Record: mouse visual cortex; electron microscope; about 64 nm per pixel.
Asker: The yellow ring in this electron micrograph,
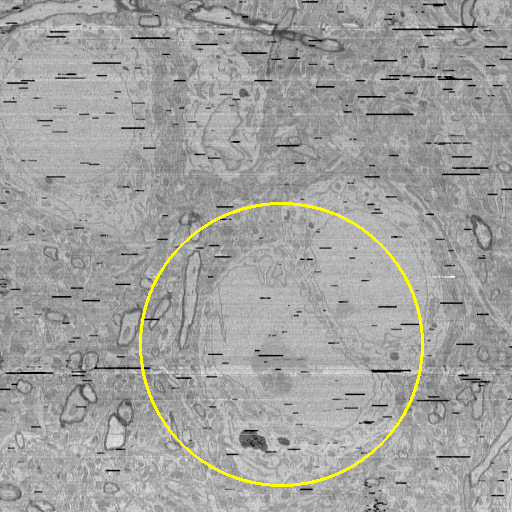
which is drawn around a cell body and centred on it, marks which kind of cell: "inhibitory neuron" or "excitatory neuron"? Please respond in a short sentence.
The marked cell is an inhibitory neuron.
